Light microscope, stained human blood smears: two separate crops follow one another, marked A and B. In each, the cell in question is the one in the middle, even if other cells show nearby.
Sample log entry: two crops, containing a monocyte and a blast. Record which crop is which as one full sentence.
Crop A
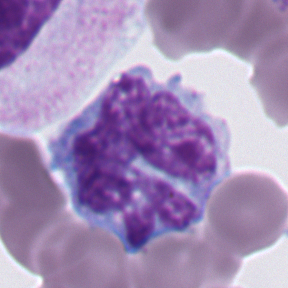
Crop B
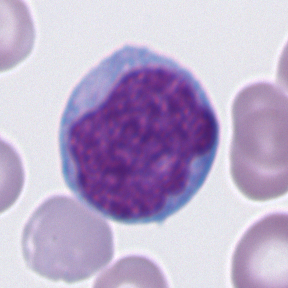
Among the crops, crop A is a monocyte and crop B is a blast.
